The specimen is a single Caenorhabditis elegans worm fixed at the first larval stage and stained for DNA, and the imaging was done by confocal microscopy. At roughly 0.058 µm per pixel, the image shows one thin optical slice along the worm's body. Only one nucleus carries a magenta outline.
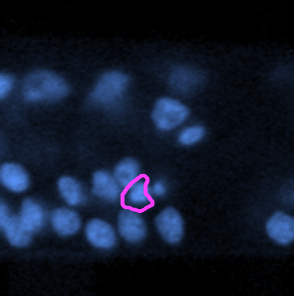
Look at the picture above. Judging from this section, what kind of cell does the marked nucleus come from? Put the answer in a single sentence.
It belongs to a valve cell of the gut.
